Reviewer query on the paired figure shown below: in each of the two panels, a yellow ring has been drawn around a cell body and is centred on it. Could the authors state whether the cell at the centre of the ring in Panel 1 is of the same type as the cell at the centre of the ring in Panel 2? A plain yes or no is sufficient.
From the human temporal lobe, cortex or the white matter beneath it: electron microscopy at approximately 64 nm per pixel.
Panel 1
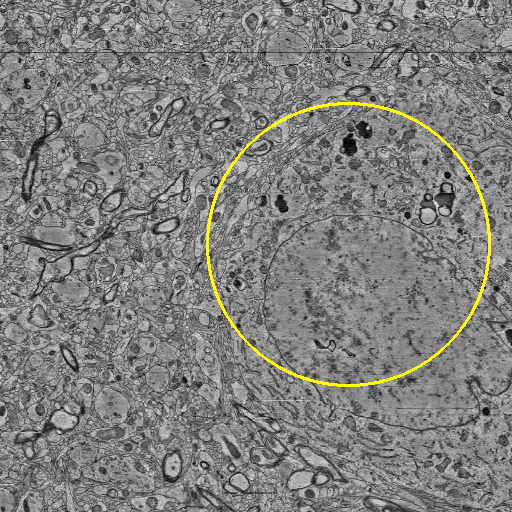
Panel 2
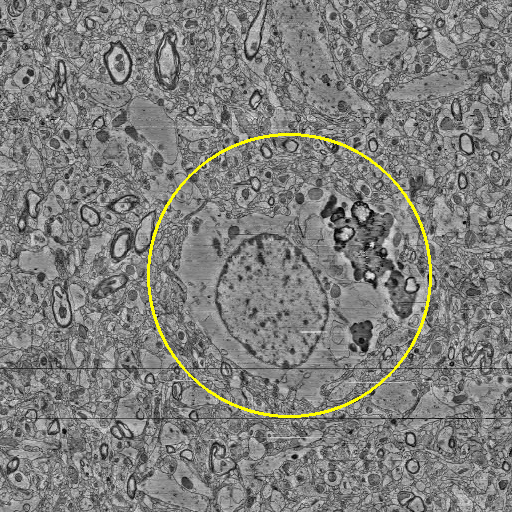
no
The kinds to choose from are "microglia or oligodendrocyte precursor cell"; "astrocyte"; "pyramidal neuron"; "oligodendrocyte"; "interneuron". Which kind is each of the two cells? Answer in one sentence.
Of the two, the first cell is a pyramidal neuron and the second cell is an astrocyte.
